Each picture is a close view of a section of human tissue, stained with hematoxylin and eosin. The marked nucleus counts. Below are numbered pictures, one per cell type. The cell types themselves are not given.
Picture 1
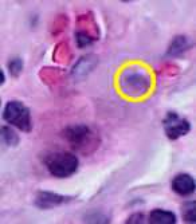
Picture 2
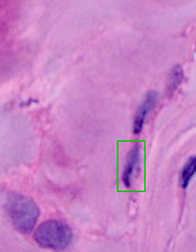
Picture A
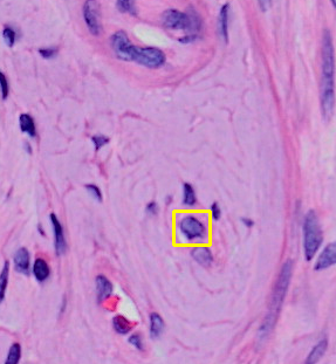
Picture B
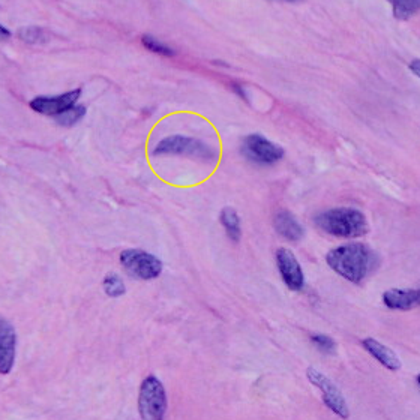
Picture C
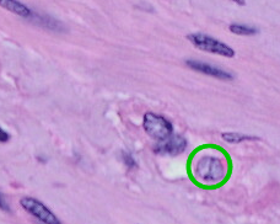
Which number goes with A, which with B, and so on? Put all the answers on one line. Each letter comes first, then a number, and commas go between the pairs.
A 1, B 2, C 1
